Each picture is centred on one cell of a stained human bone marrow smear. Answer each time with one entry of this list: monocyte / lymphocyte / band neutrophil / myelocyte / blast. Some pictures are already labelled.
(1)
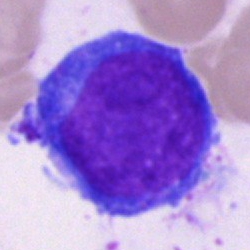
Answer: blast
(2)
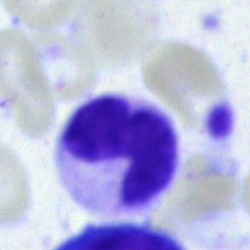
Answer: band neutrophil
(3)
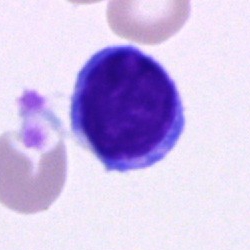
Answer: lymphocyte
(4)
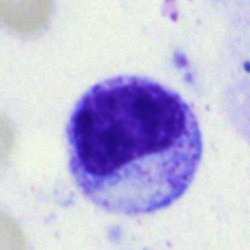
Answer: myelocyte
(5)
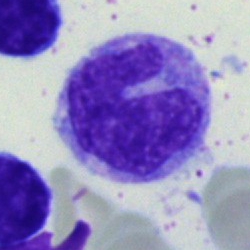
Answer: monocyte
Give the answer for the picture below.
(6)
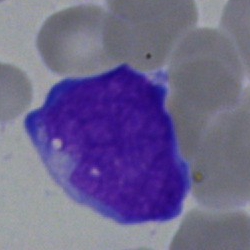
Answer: blast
